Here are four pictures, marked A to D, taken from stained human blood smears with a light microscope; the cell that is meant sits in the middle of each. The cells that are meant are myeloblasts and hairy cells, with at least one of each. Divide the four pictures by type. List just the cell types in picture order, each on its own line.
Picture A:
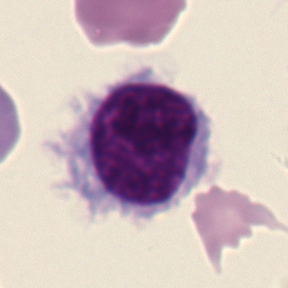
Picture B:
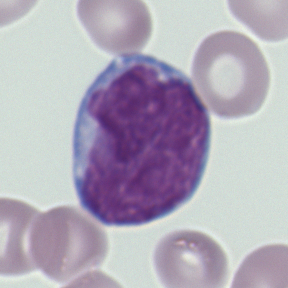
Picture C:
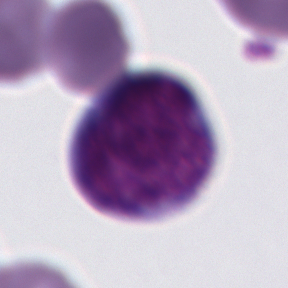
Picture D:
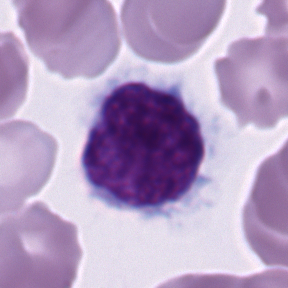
hairy cell
myeloblast
myeloblast
hairy cell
